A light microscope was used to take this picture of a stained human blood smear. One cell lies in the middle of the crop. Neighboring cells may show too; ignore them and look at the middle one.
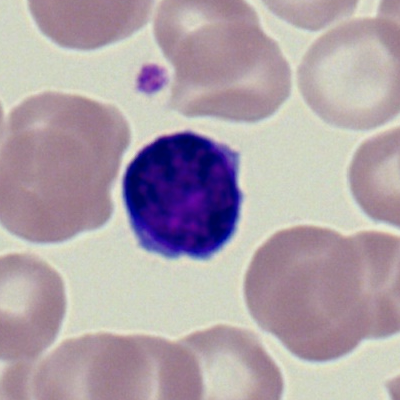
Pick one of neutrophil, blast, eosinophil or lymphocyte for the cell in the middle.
lymphocyte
